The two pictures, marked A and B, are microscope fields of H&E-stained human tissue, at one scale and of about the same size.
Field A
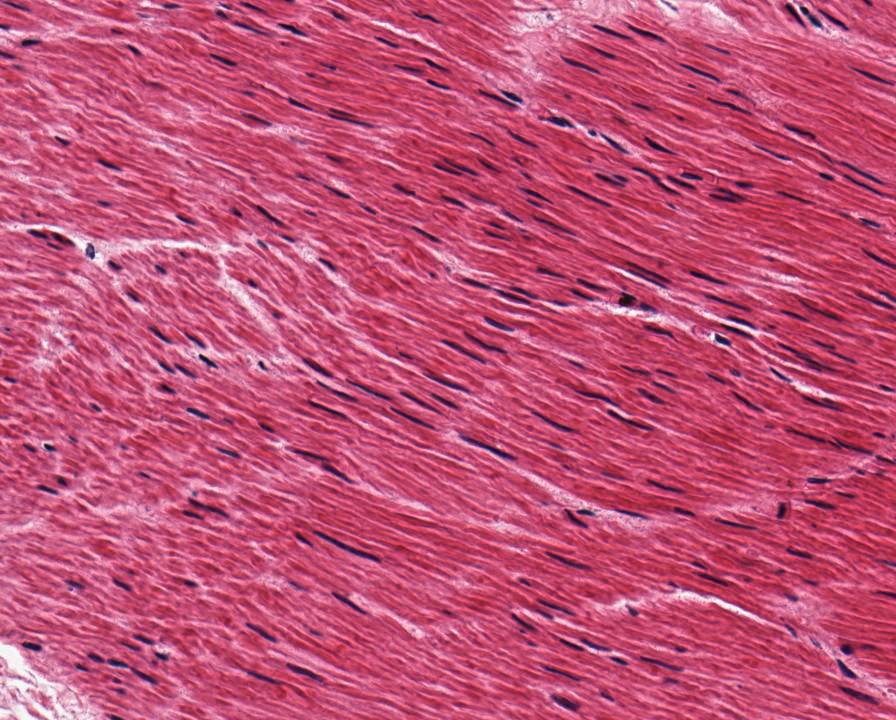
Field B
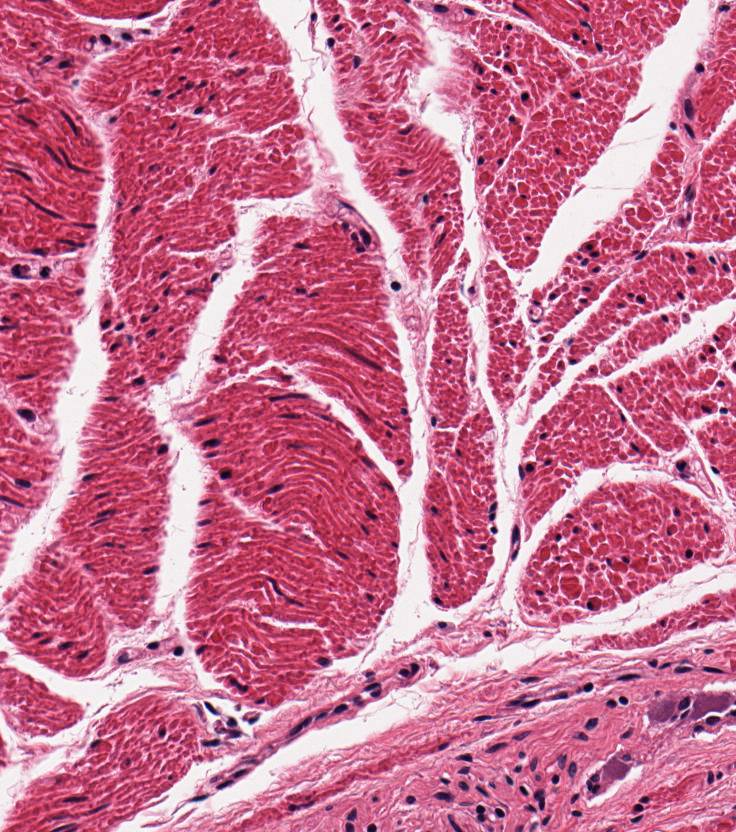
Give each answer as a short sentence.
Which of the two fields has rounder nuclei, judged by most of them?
On the whole the nuclei of field B are rounder than those of field A.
